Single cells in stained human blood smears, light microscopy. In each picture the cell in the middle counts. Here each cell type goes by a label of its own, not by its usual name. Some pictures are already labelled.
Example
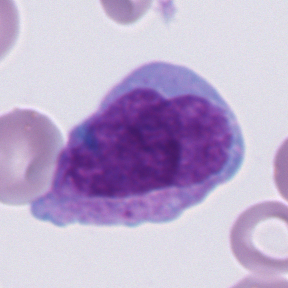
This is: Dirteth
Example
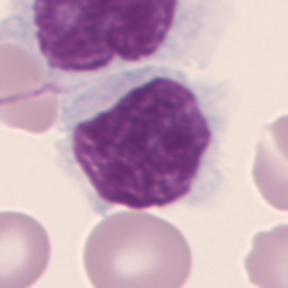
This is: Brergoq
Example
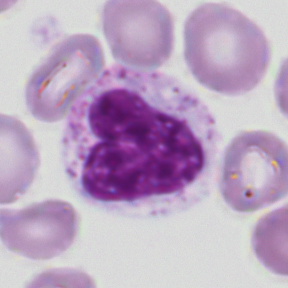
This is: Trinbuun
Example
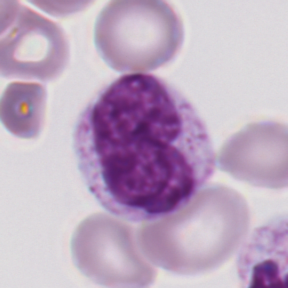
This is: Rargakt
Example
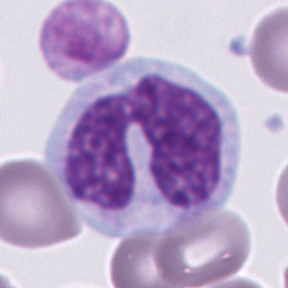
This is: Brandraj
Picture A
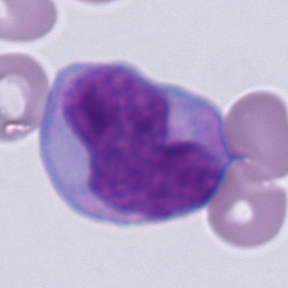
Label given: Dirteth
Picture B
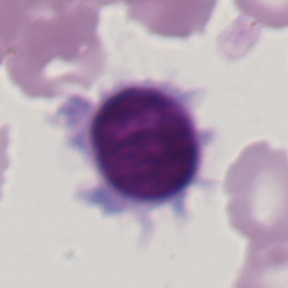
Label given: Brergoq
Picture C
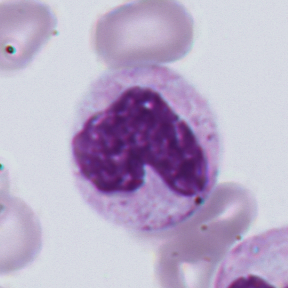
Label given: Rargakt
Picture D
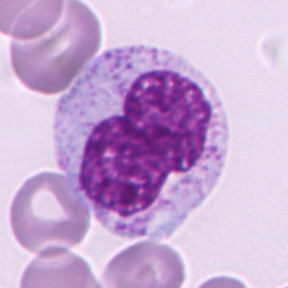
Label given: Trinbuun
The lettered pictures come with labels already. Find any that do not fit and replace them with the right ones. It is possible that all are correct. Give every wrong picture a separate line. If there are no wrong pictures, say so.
C: change Rargakt to Trinbuun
